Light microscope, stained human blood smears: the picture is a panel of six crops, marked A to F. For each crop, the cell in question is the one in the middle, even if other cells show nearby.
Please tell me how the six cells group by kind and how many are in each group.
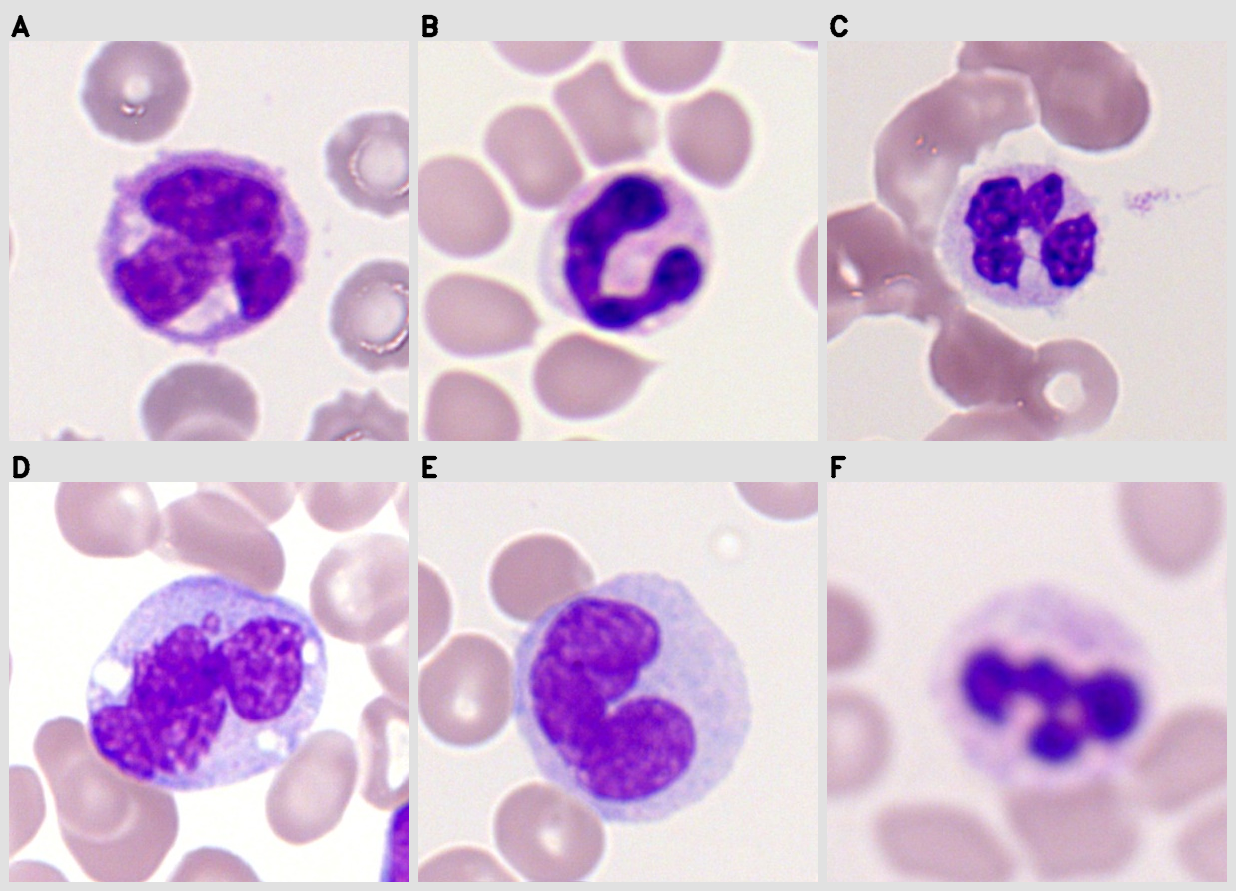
monocyte: 3
neutrophil: 3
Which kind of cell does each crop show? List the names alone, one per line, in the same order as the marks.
monocyte
neutrophil
neutrophil
monocyte
monocyte
neutrophil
